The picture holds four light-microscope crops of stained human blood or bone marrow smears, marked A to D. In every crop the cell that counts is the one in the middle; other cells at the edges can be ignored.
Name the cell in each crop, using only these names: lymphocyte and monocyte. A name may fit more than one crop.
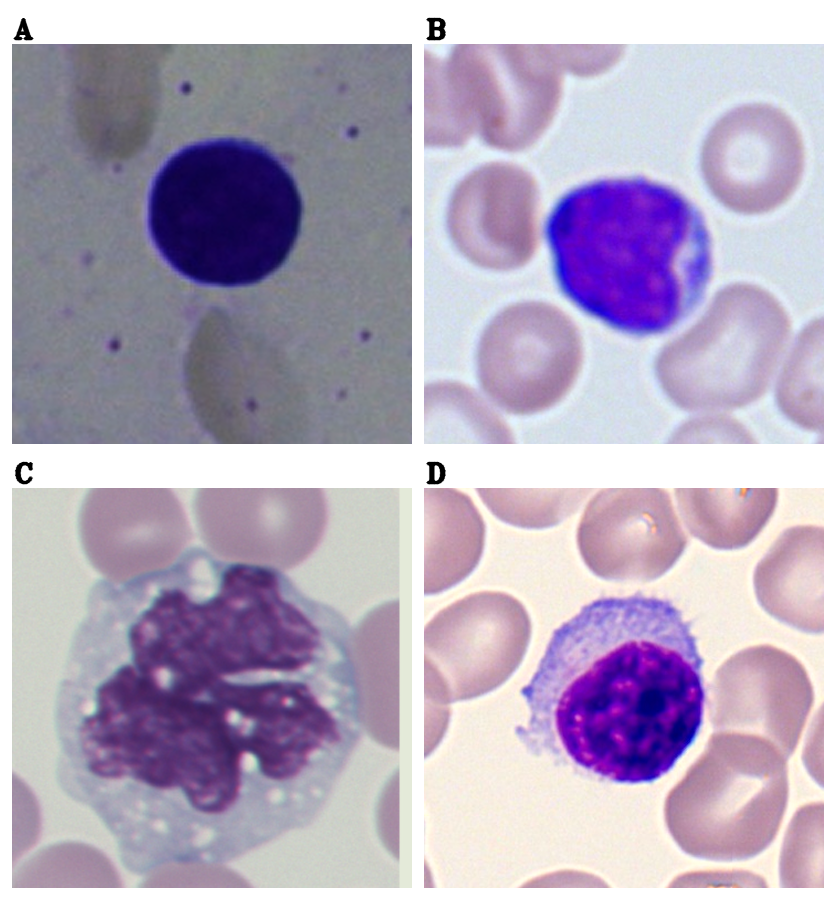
A: lymphocyte
B: lymphocyte
C: monocyte
D: lymphocyte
